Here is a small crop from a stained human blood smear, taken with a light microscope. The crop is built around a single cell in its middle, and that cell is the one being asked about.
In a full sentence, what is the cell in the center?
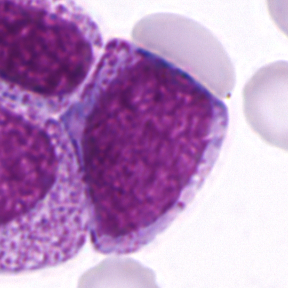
This crop's central cell is a promyelocyte.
